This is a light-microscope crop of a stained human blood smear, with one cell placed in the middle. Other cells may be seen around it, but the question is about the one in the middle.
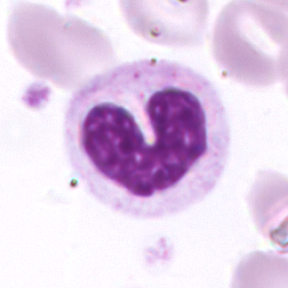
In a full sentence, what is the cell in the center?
The middle of this crop is occupied by a band neutrophil.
